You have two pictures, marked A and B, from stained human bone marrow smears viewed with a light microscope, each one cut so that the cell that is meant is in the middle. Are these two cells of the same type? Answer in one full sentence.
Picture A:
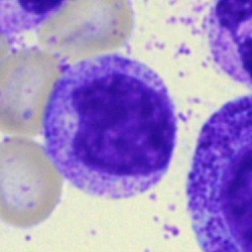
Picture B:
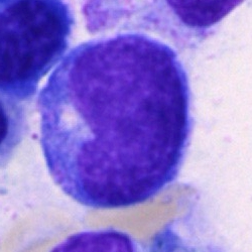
No, picture A shows a myelocyte and picture B shows a promyelocyte.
